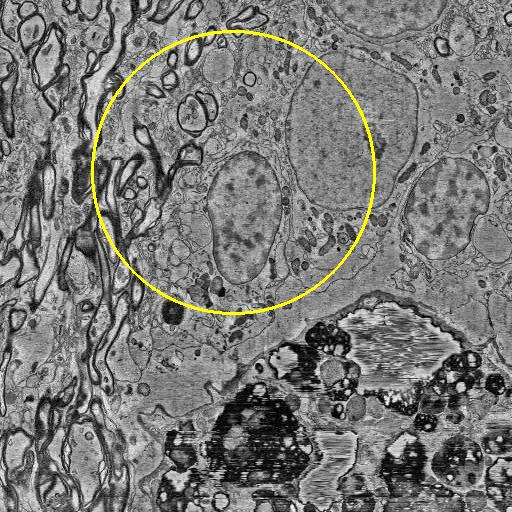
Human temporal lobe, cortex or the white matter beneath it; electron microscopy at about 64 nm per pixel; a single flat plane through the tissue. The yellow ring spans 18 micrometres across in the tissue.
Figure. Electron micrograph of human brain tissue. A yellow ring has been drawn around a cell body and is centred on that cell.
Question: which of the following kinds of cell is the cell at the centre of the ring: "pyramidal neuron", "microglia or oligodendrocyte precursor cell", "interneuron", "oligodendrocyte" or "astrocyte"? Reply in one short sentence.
The cell at the centre of the ring is a microglial cell or oligodendrocyte precursor cell.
